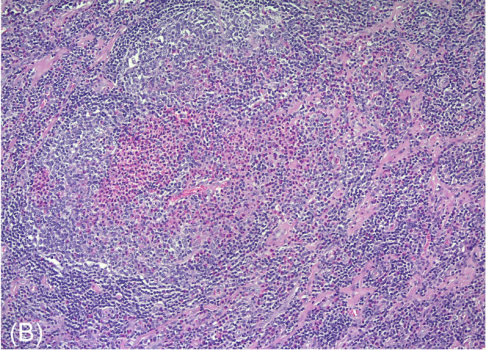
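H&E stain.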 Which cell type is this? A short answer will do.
Eosinophils.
